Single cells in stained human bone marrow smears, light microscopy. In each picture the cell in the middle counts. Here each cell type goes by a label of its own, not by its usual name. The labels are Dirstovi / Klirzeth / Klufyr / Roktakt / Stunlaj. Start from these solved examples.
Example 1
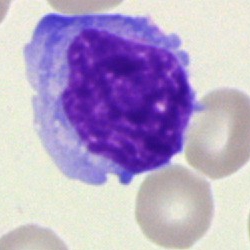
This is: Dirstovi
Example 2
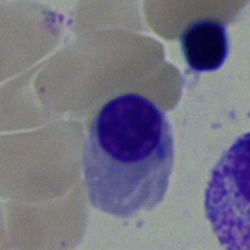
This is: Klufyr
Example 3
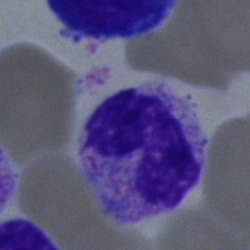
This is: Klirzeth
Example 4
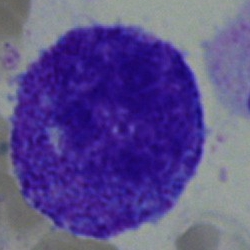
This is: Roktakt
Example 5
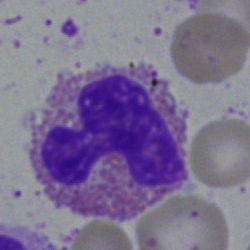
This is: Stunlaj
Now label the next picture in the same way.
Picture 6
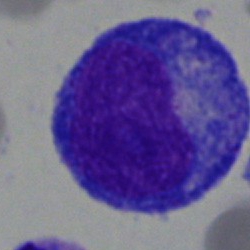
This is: Roktakt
